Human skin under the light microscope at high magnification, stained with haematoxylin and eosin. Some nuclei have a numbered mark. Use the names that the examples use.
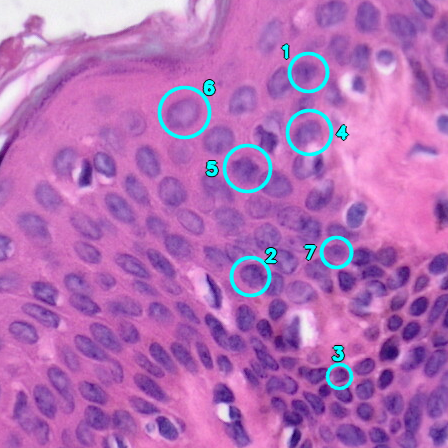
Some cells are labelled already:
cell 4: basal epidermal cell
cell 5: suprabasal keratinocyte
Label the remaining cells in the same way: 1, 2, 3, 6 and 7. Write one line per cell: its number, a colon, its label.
1: suprabasal keratinocyte
2: basal epidermal cell
3: basal epidermal cell
6: suprabasal keratinocyte
7: basal epidermal cell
